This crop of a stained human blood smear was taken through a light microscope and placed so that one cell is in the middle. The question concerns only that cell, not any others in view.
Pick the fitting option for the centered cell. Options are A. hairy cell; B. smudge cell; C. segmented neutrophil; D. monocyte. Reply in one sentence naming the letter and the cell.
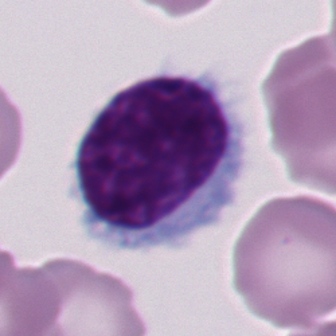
Option A is correct, and the cell in the centre is a hairy cell.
